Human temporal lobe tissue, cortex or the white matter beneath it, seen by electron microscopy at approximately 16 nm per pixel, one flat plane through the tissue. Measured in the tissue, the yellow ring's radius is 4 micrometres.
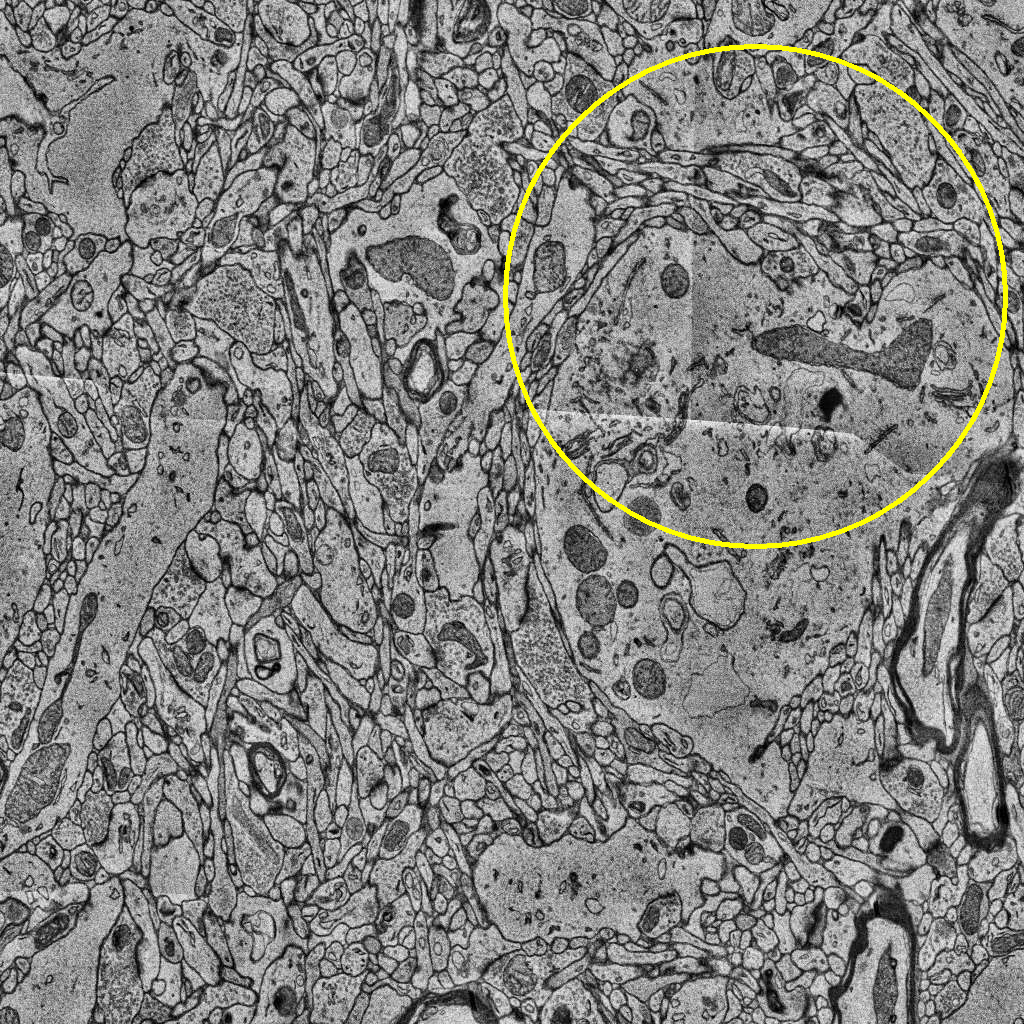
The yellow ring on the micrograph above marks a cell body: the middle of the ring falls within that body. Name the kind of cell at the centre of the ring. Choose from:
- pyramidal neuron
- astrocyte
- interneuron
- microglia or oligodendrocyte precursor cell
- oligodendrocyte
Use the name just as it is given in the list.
astrocyte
